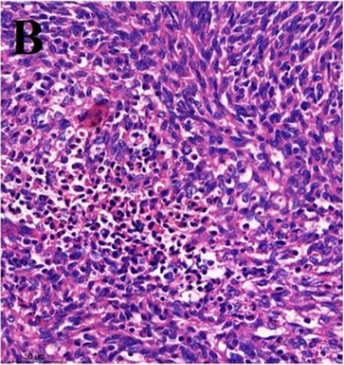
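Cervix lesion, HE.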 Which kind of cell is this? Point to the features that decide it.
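Densely packed cells with elongated, spindle-shaped dark nuclei. Cells run in sweeping, streaming bundles in places and lie haphazardly elsewhere. On this evidence: neoplastic spindle cells.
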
